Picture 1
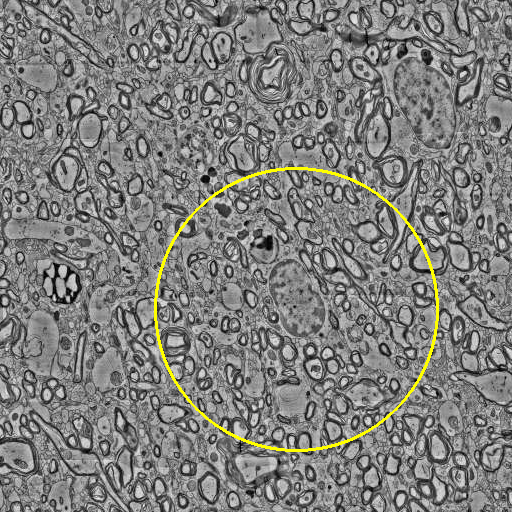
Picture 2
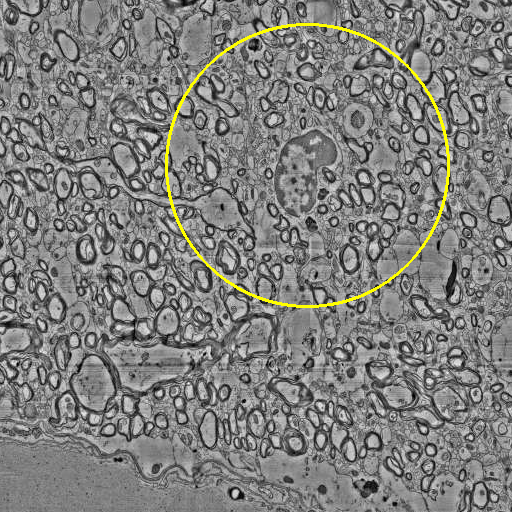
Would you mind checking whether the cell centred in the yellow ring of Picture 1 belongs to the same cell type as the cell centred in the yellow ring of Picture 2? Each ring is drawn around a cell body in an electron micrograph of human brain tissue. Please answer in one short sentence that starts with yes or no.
Yes, both cells are of the same type.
